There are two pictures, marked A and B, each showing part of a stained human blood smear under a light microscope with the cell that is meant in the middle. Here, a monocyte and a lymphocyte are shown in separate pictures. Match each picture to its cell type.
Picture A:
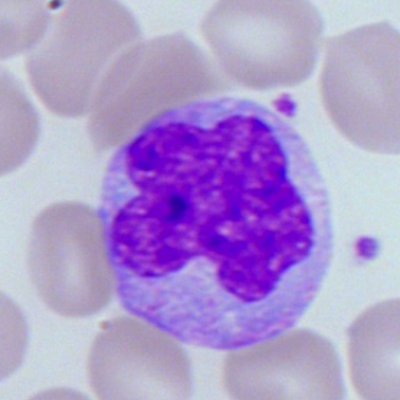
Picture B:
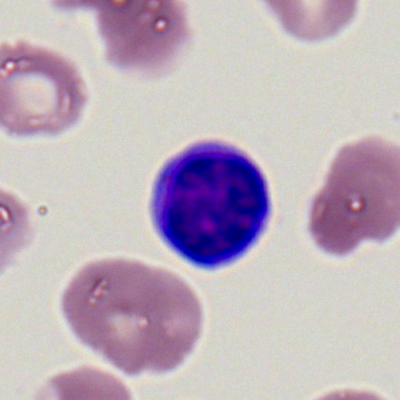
A: monocyte
B: lymphocyte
